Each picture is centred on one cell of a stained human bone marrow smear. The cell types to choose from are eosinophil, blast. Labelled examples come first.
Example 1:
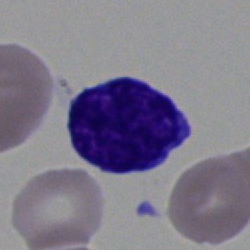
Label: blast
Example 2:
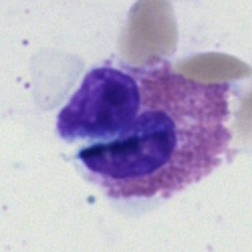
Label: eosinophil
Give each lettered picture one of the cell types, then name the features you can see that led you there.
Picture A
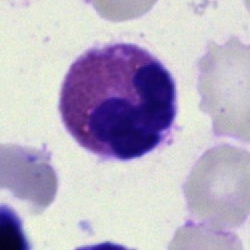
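Answer: eosinophil. The cytoplasm is plentiful and pinkish-lilac.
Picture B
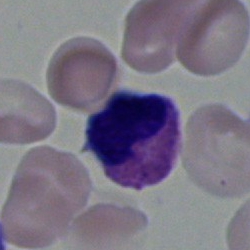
Answer: eosinophil. The cytoplasm forms a broad crescent on the lower-right side of the cell.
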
